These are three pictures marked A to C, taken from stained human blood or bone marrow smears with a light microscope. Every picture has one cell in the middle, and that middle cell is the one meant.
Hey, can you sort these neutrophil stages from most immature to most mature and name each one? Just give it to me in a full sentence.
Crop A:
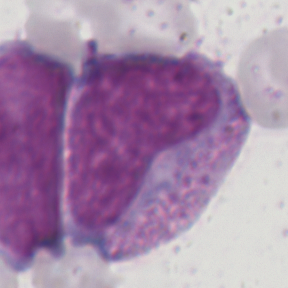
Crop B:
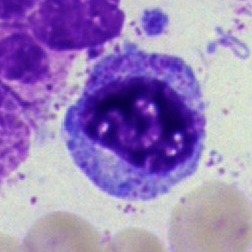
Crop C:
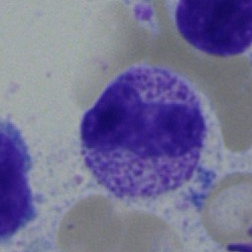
Starting from the least mature, the sequence proceeds crop A (a promyelocyte), crop B (a myelocyte) and crop C (a metamyelocyte).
